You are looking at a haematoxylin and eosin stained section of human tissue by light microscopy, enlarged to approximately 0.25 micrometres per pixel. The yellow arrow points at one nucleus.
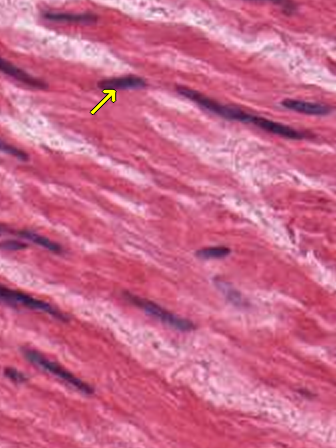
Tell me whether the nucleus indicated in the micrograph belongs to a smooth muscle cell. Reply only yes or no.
yes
